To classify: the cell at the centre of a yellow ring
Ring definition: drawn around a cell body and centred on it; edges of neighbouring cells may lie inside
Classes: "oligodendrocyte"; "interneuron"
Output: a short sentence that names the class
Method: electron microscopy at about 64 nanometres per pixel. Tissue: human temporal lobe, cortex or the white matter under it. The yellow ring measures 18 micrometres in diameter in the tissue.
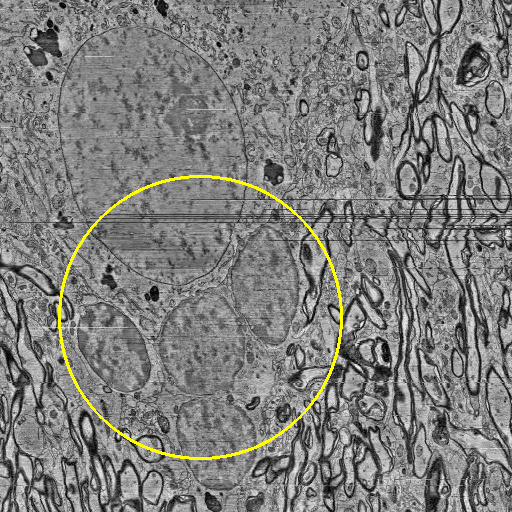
The ringed cell is an oligodendrocyte.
